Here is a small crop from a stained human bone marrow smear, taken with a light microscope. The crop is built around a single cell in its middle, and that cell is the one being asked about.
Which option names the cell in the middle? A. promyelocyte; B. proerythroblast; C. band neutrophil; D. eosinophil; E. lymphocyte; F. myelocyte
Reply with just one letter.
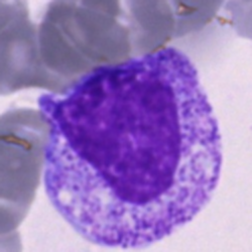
A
